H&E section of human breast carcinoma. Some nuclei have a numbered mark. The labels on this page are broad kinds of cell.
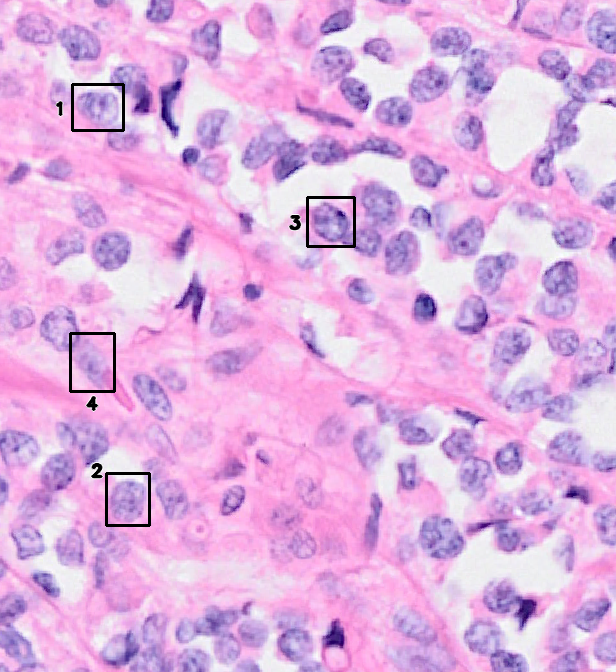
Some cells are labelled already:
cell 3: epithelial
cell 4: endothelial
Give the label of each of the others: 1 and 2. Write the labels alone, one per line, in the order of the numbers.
epithelial
epithelial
